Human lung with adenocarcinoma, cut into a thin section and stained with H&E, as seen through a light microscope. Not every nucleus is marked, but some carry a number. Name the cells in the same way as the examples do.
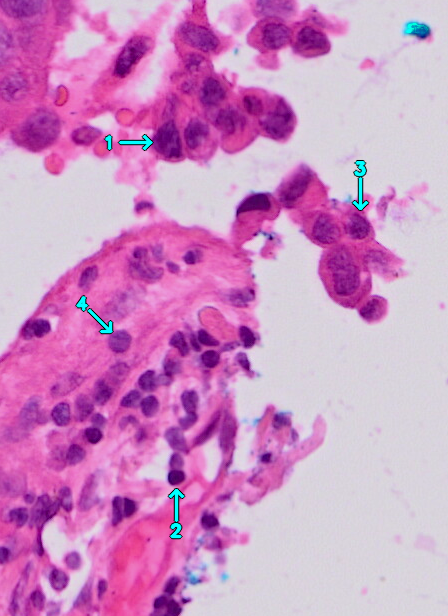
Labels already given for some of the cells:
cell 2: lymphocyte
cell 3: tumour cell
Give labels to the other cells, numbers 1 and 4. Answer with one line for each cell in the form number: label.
1: tumour cell
4: lymphocyte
